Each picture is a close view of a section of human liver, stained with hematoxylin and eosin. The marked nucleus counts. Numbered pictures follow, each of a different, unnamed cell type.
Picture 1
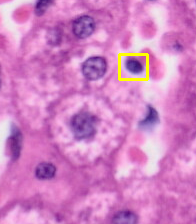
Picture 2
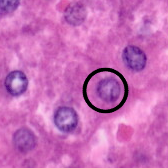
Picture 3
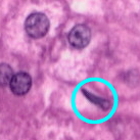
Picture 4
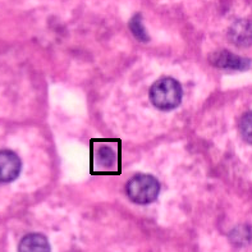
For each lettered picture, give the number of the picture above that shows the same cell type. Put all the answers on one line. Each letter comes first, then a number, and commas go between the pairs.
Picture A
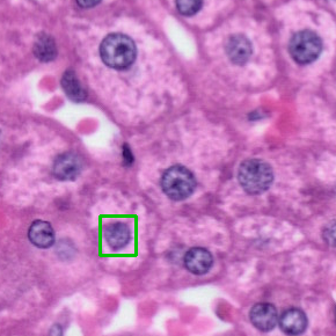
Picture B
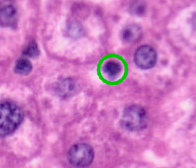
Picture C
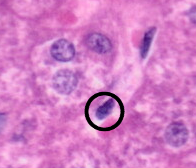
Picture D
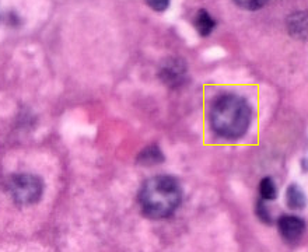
A 2, B 1, C 1, D 2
